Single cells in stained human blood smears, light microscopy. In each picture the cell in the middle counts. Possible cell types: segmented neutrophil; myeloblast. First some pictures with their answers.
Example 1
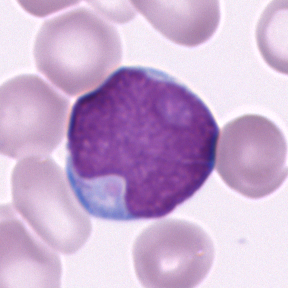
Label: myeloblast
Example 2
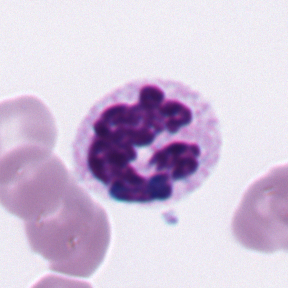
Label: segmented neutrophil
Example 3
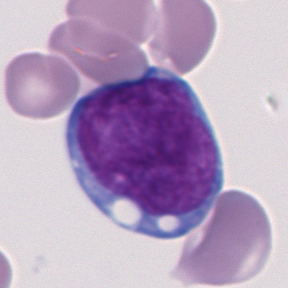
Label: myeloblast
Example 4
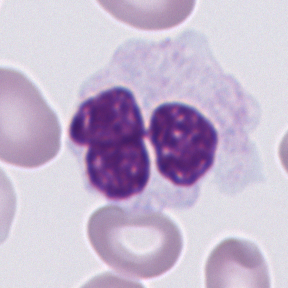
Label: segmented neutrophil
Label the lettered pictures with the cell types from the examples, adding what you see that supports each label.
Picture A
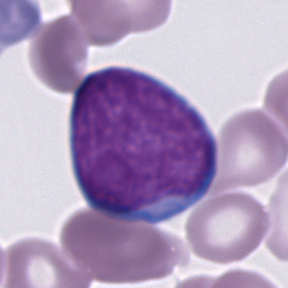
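myeloblast. Evidence: The nucleus fills almost the whole cell.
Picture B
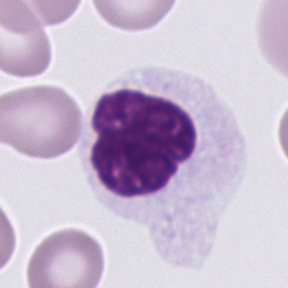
segmented neutrophil. Evidence: The cytoplasm is abundant compared with the nucleus.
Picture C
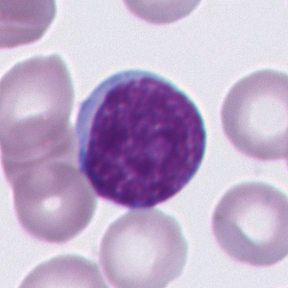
myeloblast. Evidence: The cytoplasm forms only a thin rim around the nucleus.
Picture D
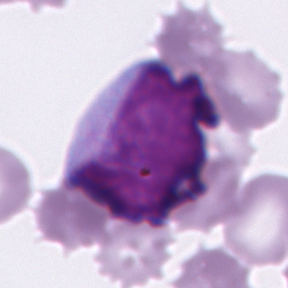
myeloblast. Evidence: A thin crescent of pale blue cytoplasm lies along the upper-left side of the cell.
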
